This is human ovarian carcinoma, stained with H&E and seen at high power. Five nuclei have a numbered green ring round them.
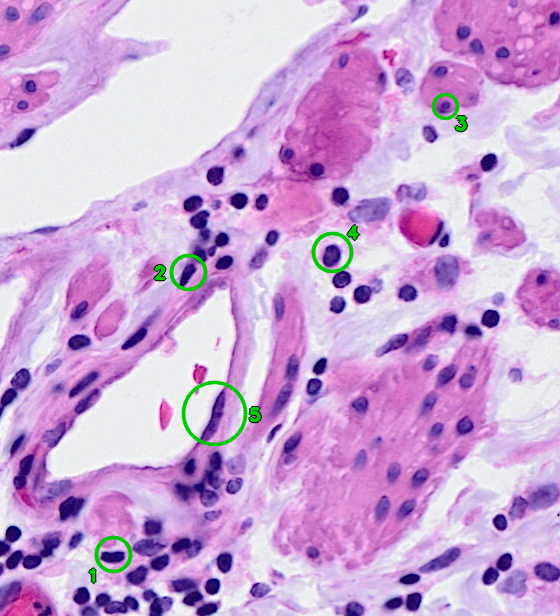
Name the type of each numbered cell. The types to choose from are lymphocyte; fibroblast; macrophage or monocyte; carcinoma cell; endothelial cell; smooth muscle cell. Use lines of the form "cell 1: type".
cell 1: lymphocyte
cell 2: lymphocyte
cell 3: smooth muscle cell
cell 4: lymphocyte
cell 5: endothelial cell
